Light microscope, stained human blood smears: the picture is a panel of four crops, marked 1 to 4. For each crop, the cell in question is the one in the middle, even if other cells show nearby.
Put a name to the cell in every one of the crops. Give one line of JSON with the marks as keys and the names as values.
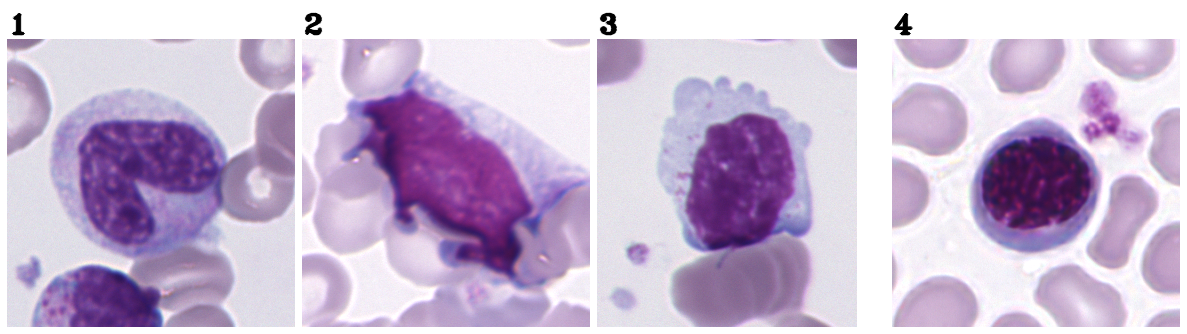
{"1": "band neutrophil", "2": "typical lymphocyte", "3": "large granular lymphocyte", "4": "erythroblast"}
